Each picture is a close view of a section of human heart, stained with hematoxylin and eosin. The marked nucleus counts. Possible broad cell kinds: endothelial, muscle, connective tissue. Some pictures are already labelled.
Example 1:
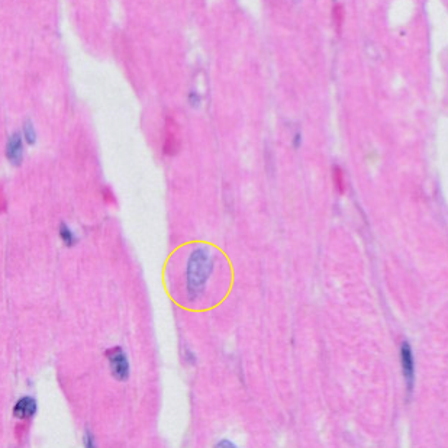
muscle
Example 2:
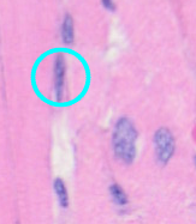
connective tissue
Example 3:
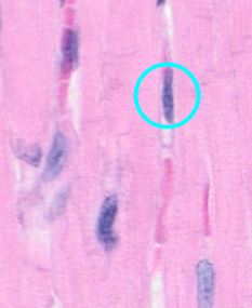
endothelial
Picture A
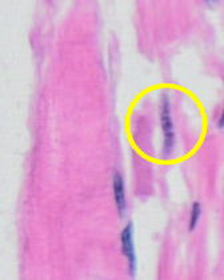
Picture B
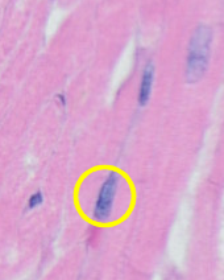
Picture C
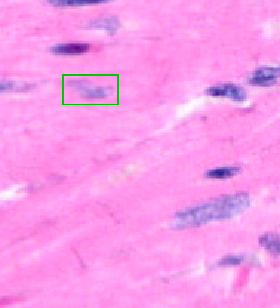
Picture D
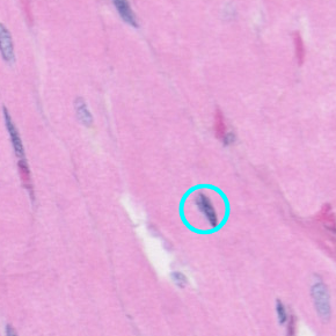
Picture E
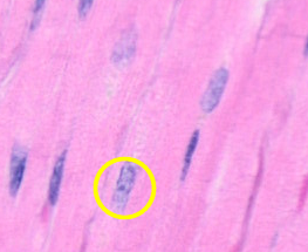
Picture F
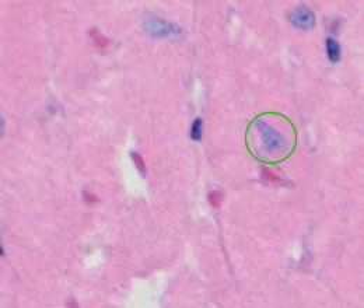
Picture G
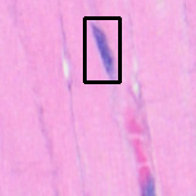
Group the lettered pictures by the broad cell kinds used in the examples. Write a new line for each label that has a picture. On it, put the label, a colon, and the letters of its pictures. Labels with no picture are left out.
endothelial: B, D, G
muscle: C, E, F
connective tissue: A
